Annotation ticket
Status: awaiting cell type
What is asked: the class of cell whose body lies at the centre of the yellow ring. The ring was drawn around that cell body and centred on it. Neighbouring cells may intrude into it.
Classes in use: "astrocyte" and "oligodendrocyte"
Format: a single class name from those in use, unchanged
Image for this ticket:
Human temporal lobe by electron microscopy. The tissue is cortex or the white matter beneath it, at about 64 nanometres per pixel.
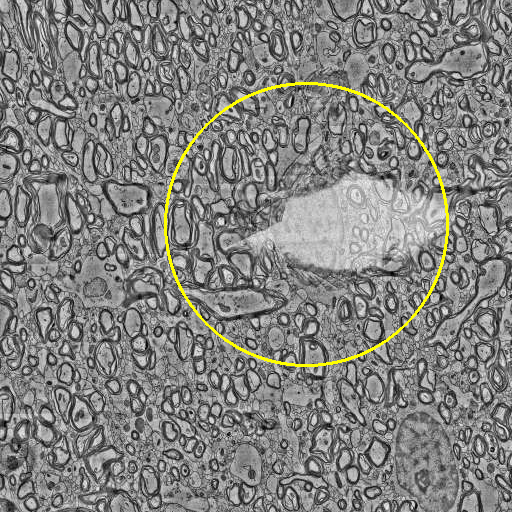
oligodendrocyte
